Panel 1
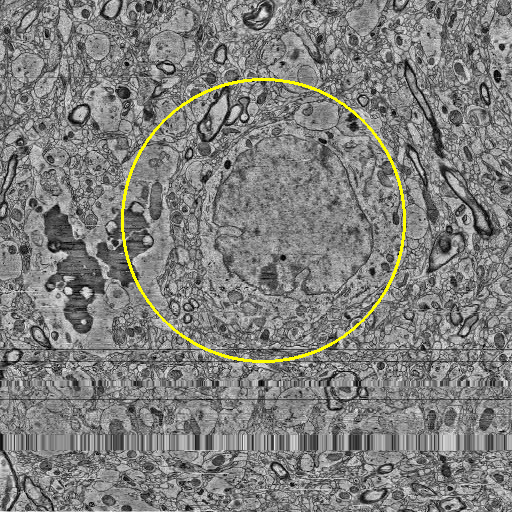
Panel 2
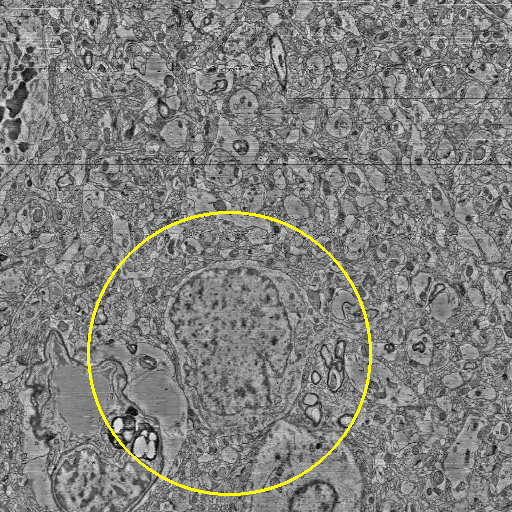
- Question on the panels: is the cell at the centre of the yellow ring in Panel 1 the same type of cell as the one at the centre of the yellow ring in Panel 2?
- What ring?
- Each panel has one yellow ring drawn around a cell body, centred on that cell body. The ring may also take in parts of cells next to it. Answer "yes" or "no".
yes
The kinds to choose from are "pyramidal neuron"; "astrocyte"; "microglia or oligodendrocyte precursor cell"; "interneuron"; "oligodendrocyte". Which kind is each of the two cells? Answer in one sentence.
The ring centre holds an interneuron in each of the two pictures.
